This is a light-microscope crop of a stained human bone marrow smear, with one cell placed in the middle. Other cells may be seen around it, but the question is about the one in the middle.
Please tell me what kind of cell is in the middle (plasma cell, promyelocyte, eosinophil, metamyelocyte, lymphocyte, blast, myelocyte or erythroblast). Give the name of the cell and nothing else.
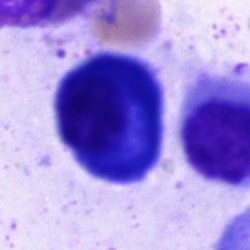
plasma cell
